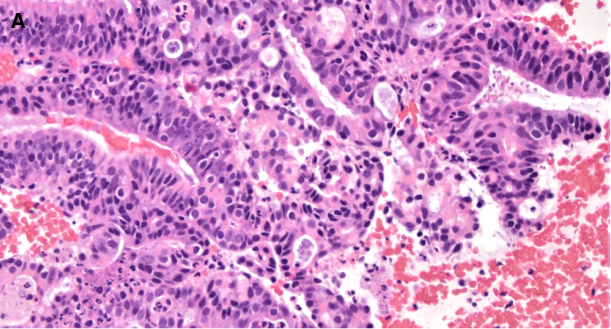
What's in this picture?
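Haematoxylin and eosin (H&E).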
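This shows a crowded glandular epithelial proliferation with small gland lumina lying close together. The lining cells are columnar, with elongated, dark-staining nuclei that are crowded and stratified in several layers. Small round lumina contain pink material and occasional inflammatory cells. Large areas of red blood cells lie beside the epithelium at the right and bottom.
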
